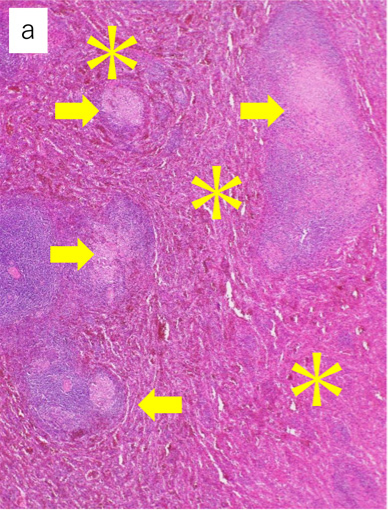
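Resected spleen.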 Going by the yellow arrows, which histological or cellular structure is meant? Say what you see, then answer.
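Pale pink rounded nodules sit within darker blue lymphoid aggregates. The nodules show no central necrotic debris.
Noncaseating epithelioid granulomas.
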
